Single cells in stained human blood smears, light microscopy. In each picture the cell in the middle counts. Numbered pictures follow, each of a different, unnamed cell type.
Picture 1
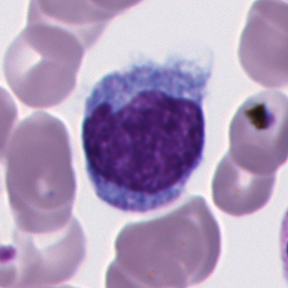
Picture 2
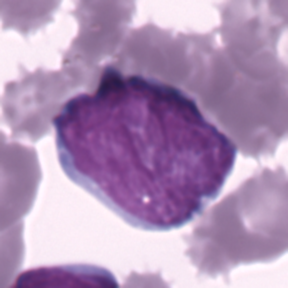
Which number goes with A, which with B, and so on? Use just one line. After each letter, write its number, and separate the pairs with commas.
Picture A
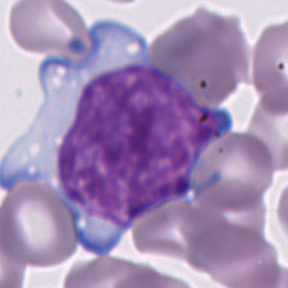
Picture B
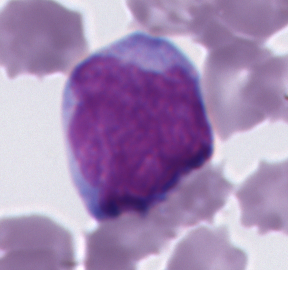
A 2, B 2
